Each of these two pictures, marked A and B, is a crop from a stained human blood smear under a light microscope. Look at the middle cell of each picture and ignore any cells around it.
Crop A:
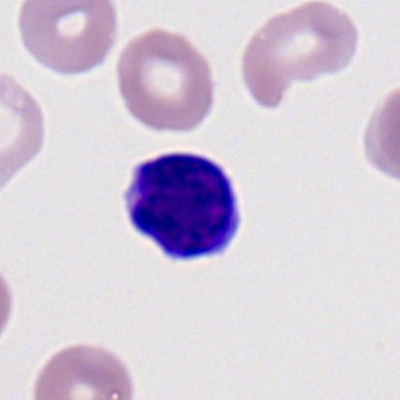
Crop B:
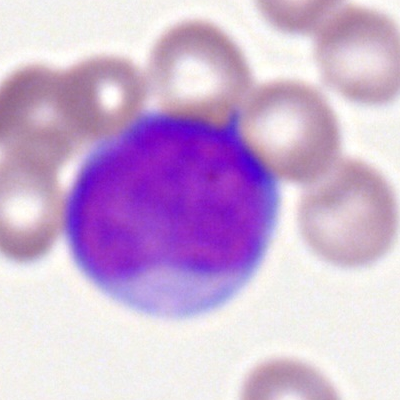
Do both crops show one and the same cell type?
no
